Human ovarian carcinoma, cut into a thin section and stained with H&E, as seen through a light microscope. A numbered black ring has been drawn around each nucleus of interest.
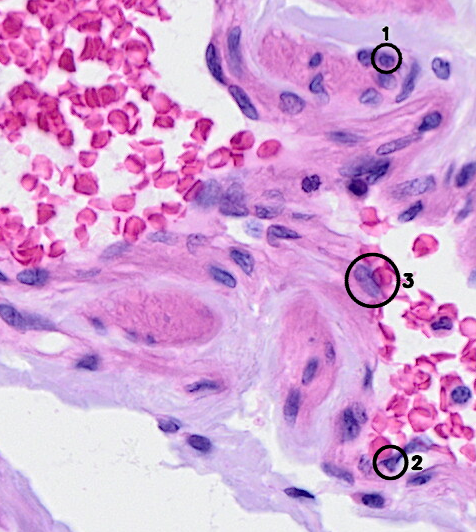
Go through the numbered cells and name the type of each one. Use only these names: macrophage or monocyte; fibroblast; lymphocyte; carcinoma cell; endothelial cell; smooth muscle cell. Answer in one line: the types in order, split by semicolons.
smooth muscle cell; endothelial cell; endothelial cell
